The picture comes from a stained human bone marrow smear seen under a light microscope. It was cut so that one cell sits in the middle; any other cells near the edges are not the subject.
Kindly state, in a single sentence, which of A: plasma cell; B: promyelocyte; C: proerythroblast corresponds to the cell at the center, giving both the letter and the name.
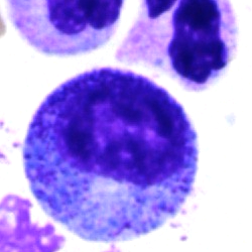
The central cell, a promyelocyte, is correctly identified by option B.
